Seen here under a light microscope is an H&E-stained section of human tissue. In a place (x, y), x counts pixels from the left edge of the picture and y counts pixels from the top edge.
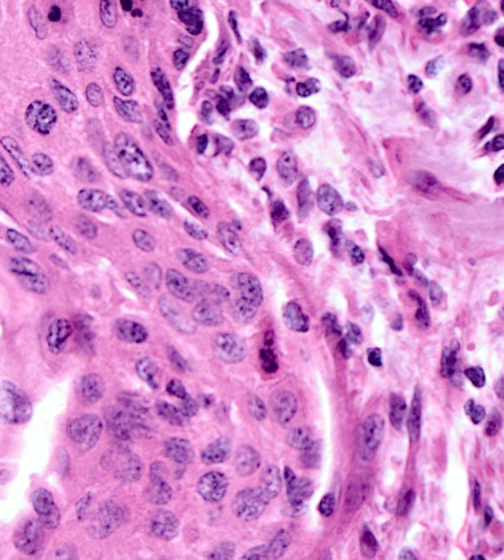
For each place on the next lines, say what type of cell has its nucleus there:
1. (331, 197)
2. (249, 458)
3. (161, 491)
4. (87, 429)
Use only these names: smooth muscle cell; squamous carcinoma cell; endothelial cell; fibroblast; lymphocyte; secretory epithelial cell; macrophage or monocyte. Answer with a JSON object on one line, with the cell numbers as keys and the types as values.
{"1": "fibroblast", "2": "squamous carcinoma cell", "3": "squamous carcinoma cell", "4": "squamous carcinoma cell"}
